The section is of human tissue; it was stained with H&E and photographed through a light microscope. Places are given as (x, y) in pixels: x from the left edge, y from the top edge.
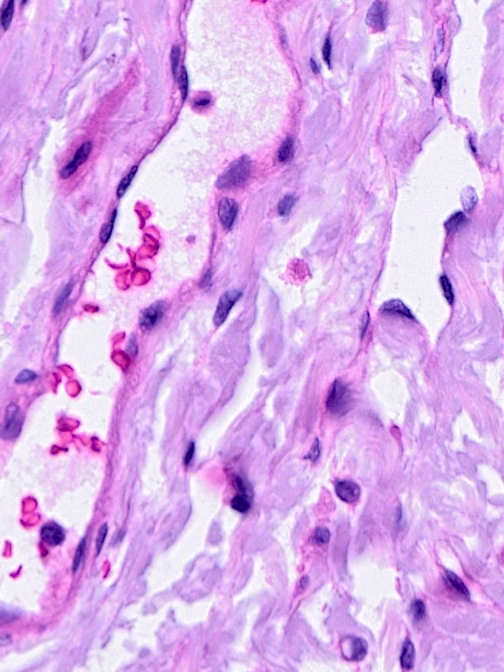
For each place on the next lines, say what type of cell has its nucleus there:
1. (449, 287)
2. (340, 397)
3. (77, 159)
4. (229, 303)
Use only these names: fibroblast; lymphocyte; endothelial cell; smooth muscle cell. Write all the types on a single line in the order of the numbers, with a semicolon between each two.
endothelial cell; endothelial cell; smooth muscle cell; fibroblast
